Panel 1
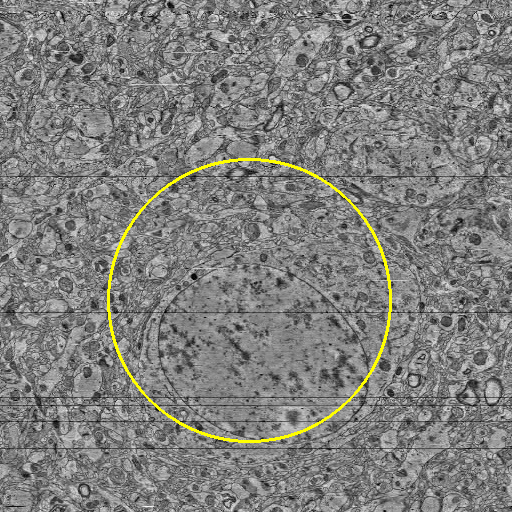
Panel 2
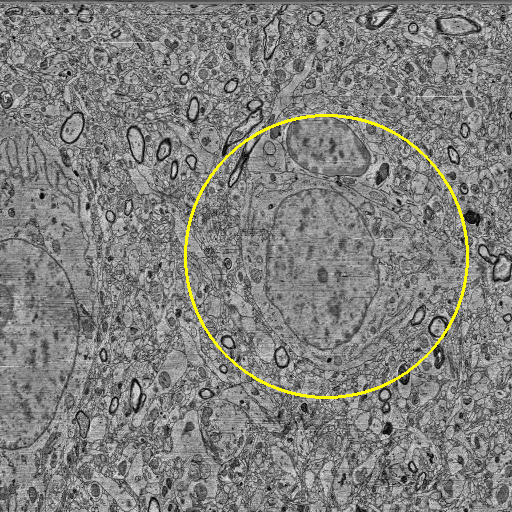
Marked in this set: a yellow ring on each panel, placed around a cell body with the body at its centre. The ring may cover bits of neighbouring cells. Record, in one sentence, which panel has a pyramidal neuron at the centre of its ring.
Panel 1 has it at the centre of its ring.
